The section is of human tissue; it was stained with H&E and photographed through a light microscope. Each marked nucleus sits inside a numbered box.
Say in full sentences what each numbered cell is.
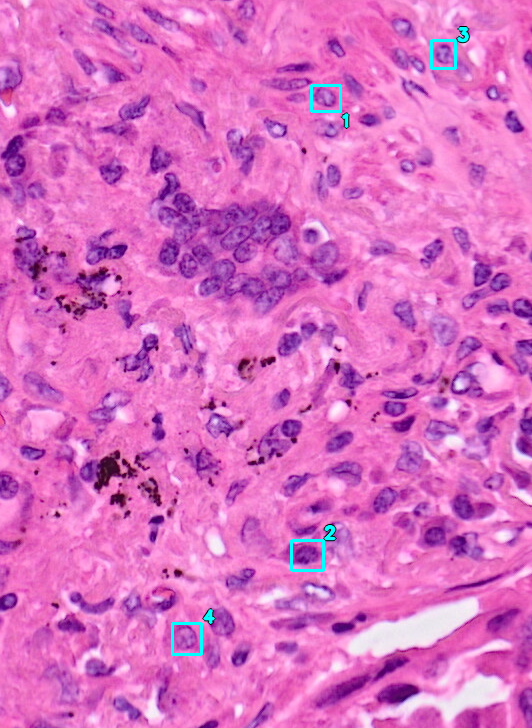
Cell 1 is a smooth muscle cell or pericyte. Cell 2 is a plasma cell. Cell 3 is a mast cell. Cell 4 is a macrophage or monocyte.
